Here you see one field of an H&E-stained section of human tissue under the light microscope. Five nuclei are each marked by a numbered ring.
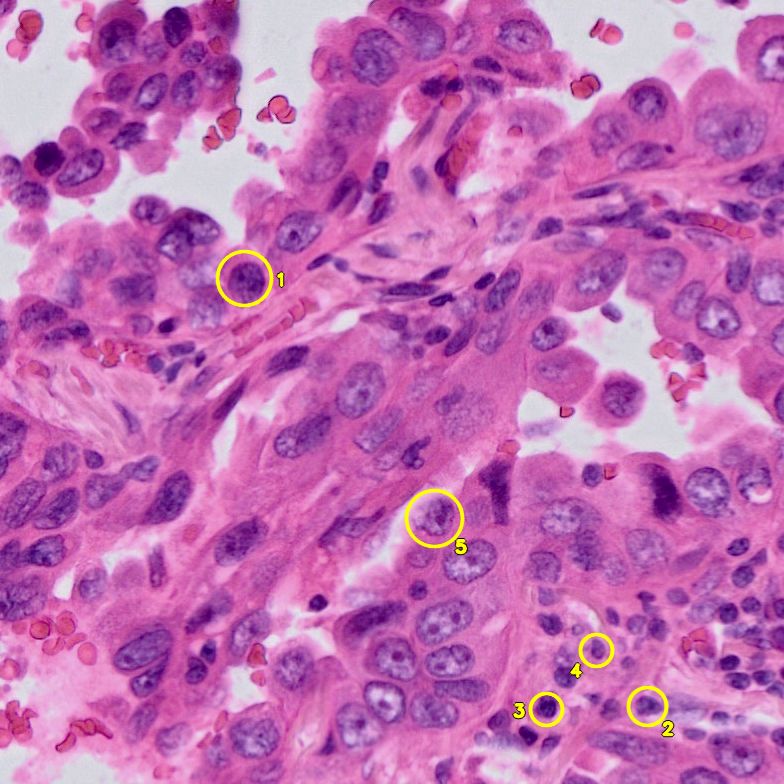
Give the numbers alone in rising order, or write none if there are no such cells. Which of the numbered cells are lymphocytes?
2, 3, 4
